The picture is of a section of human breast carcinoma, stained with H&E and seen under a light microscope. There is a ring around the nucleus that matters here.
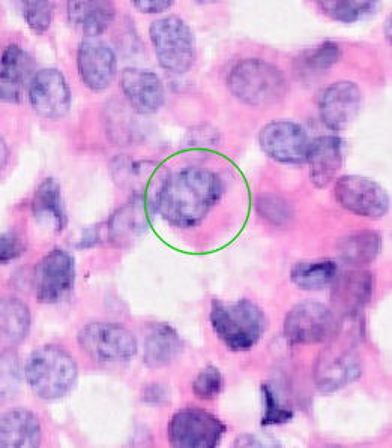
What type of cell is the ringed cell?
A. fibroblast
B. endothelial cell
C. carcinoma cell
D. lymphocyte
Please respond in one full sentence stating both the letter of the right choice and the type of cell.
The correct option here, C, identifies the ringed cell as a carcinoma cell.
